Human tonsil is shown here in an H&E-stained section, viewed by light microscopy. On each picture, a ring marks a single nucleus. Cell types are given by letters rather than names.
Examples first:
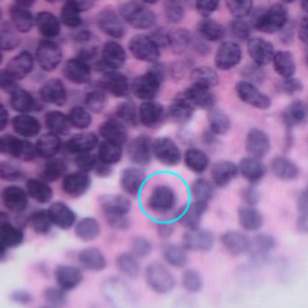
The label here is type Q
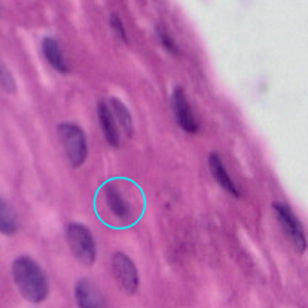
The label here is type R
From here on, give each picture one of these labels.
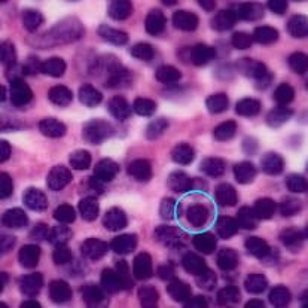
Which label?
type Q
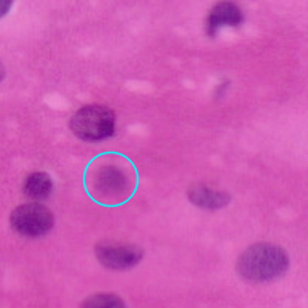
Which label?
type R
